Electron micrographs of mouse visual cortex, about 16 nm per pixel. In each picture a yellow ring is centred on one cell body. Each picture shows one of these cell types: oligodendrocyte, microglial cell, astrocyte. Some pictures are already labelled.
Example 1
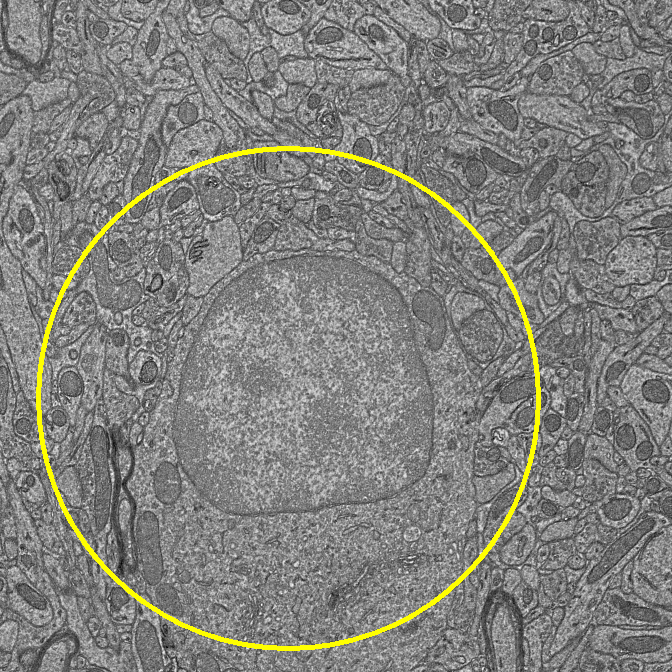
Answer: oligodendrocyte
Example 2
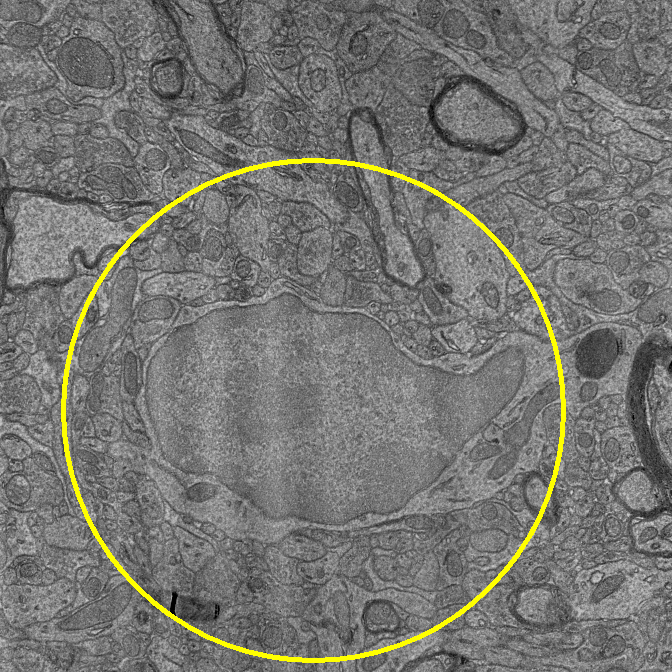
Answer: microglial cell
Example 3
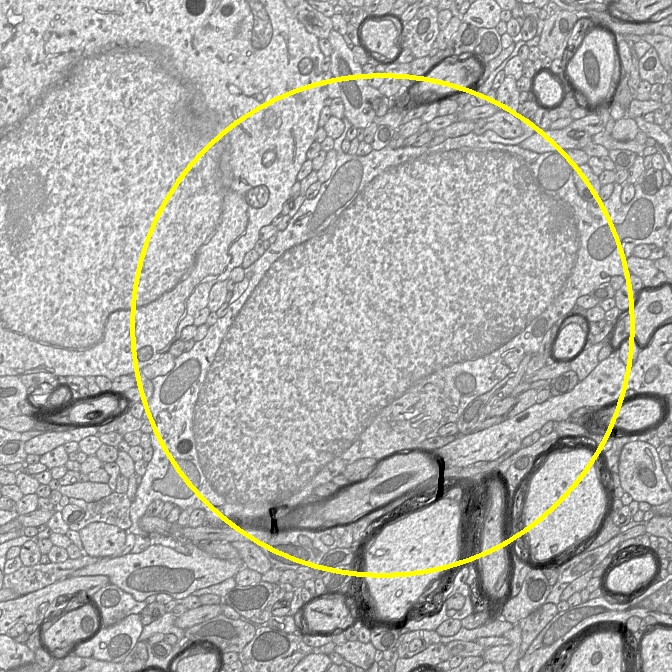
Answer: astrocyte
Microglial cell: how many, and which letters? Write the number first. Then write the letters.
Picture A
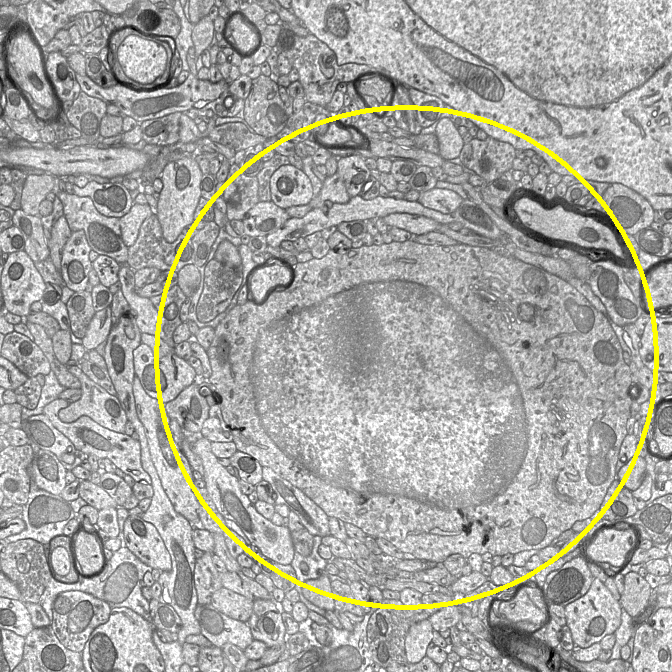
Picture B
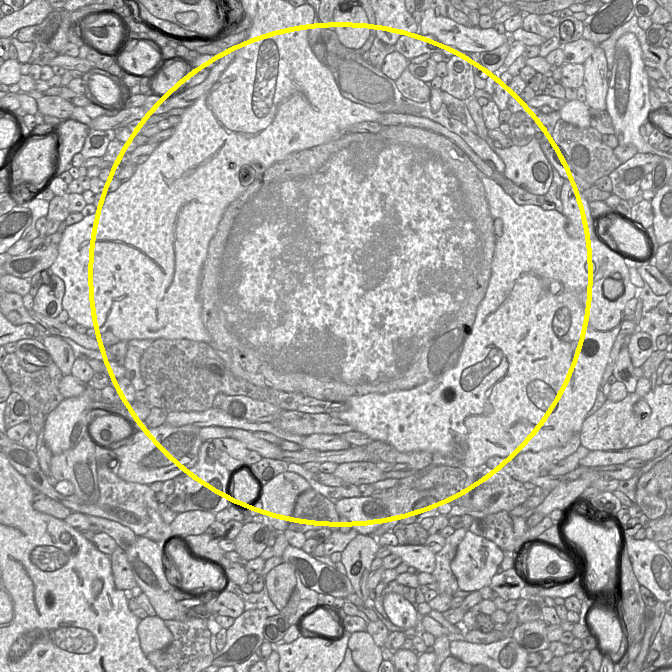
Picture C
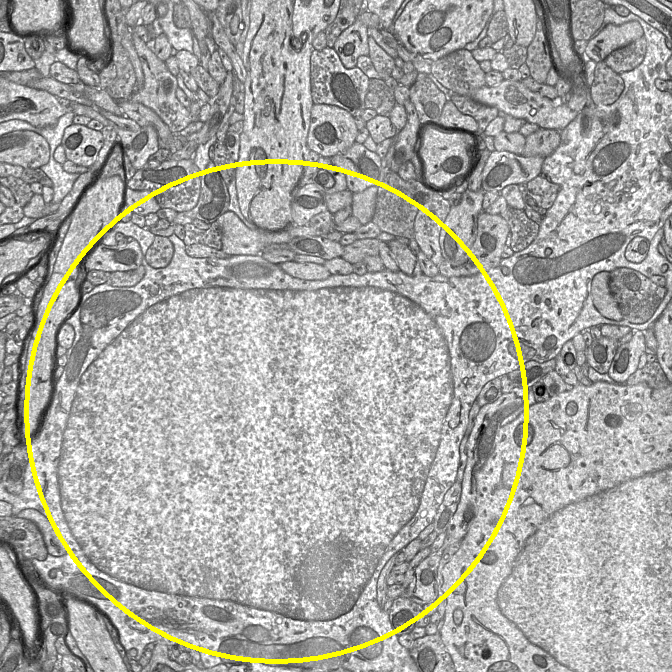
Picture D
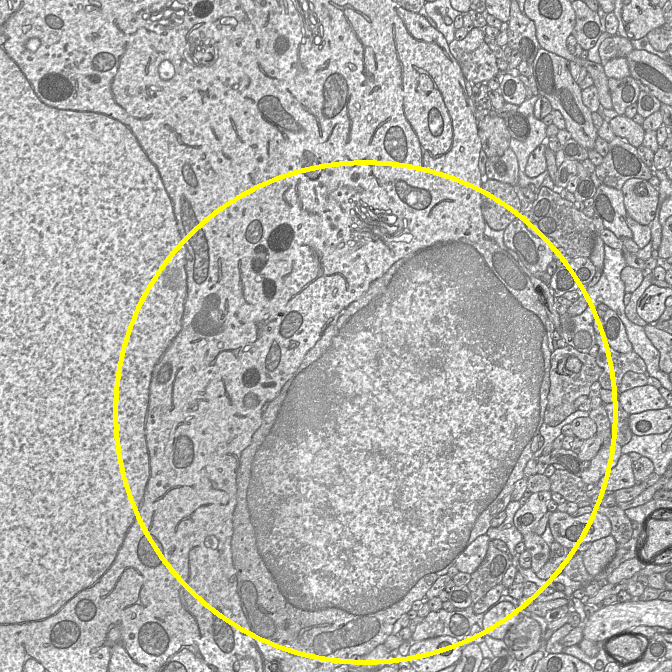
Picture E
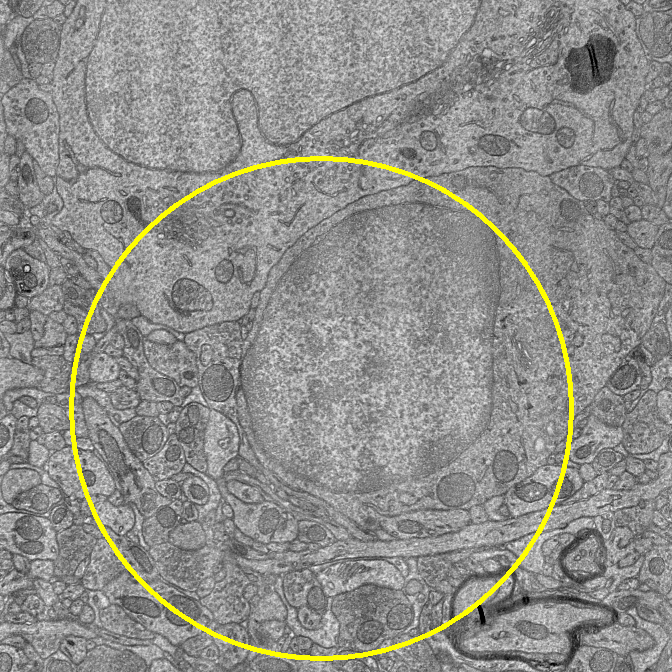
0, none of them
